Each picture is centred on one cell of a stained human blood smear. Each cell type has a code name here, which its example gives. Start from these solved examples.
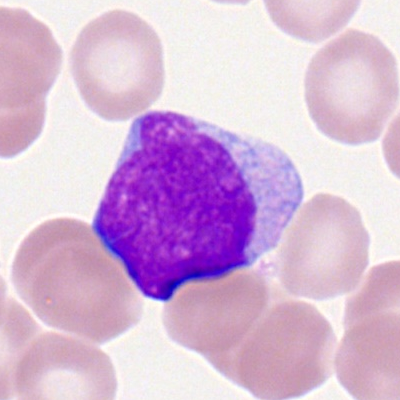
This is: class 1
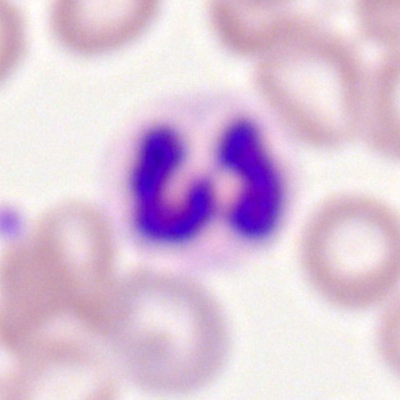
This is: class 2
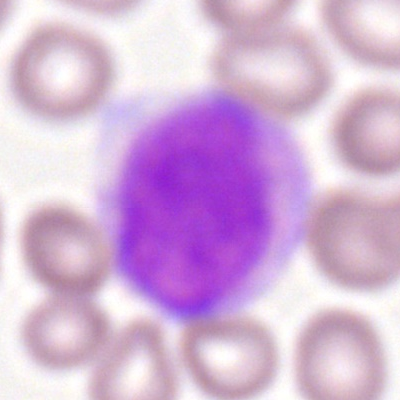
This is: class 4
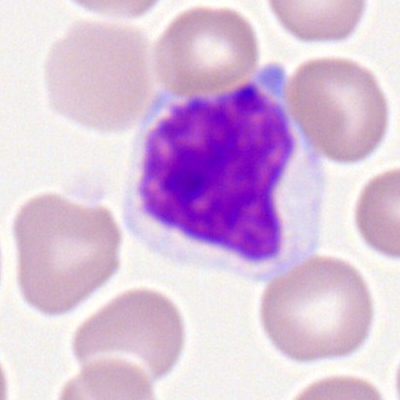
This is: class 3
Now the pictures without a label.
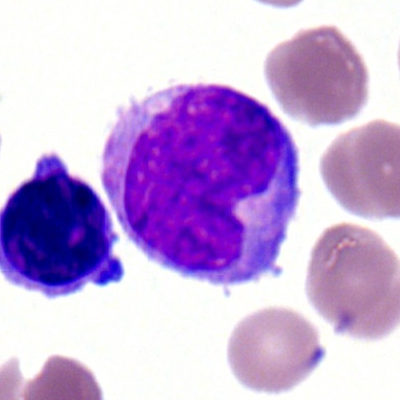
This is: class 4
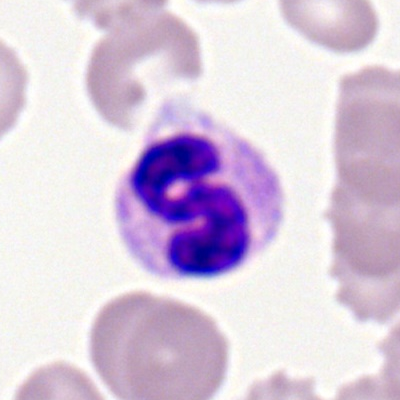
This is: class 2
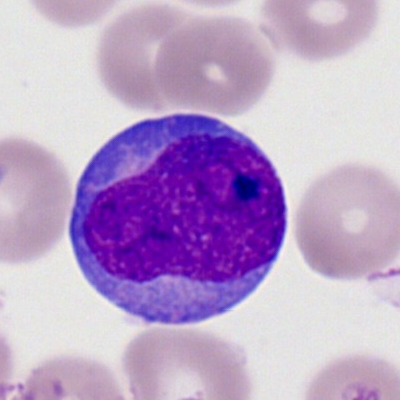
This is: class 1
